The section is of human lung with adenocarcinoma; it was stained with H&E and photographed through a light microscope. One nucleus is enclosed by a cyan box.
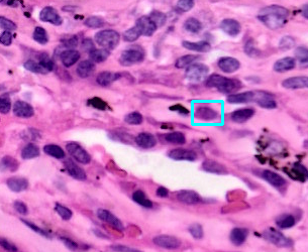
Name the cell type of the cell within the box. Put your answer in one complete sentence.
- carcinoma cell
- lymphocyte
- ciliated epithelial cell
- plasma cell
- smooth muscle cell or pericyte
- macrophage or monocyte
In cellular terms, the cell within the box is a plasma cell.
